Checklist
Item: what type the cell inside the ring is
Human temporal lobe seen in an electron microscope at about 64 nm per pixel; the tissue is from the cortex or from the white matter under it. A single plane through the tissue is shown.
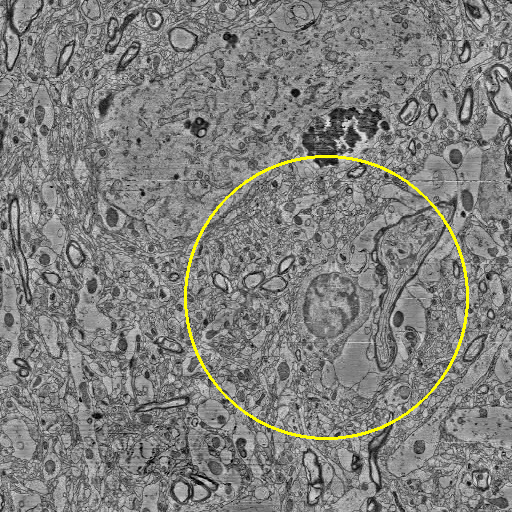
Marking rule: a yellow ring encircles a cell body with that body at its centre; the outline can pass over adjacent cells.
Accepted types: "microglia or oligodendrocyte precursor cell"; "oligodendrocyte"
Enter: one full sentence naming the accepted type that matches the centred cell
The entry is that an oligodendrocyte lies at the centre of the yellow ring.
